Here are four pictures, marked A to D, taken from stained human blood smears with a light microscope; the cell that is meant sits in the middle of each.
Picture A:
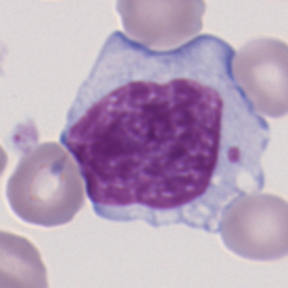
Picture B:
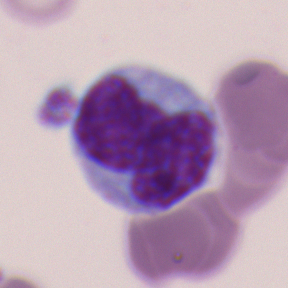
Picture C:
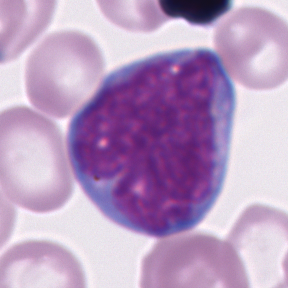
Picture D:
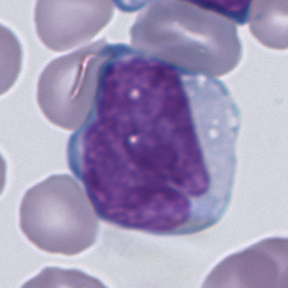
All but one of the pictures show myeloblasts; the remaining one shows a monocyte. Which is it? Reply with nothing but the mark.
B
